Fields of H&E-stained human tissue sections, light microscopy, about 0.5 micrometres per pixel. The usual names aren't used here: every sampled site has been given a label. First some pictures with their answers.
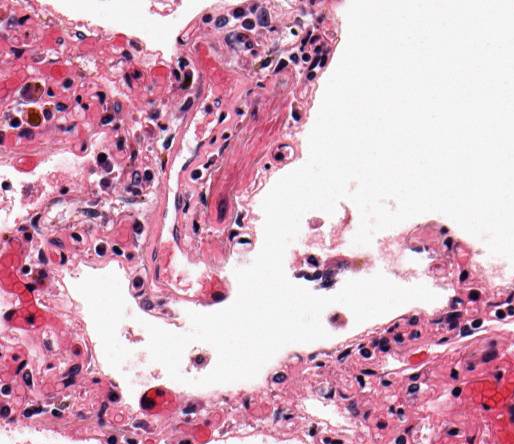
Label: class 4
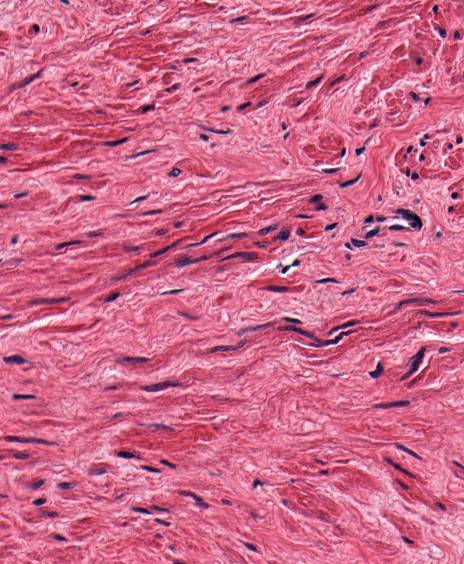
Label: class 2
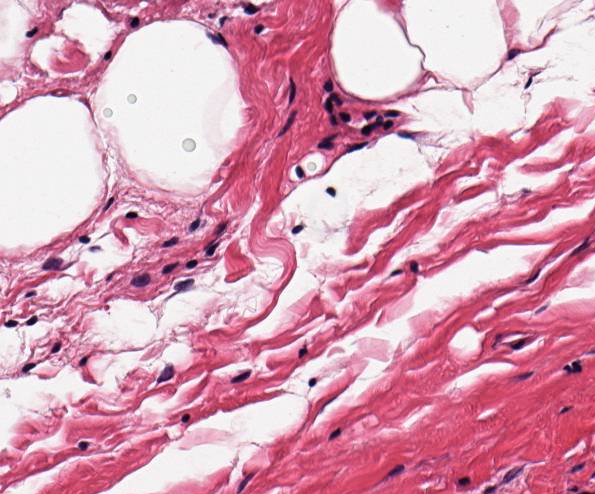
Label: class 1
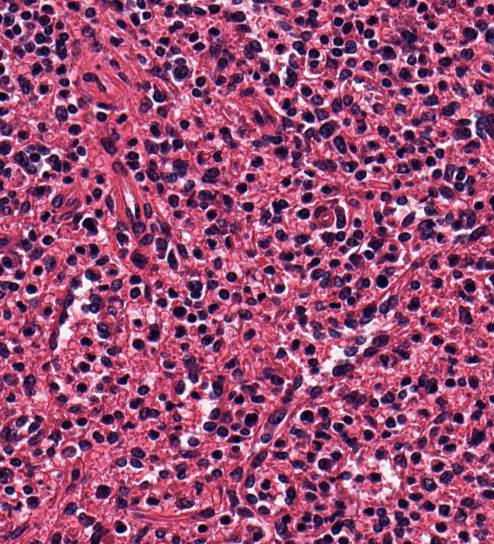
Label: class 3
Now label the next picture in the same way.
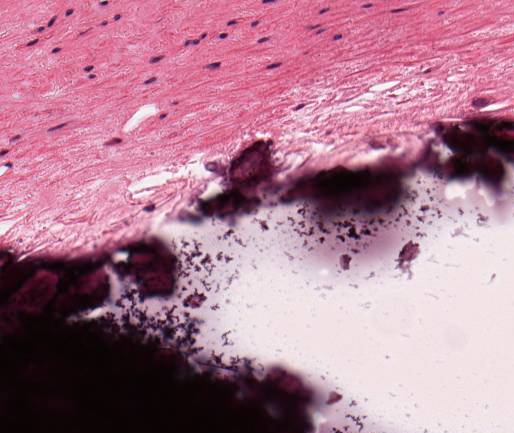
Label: class 1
